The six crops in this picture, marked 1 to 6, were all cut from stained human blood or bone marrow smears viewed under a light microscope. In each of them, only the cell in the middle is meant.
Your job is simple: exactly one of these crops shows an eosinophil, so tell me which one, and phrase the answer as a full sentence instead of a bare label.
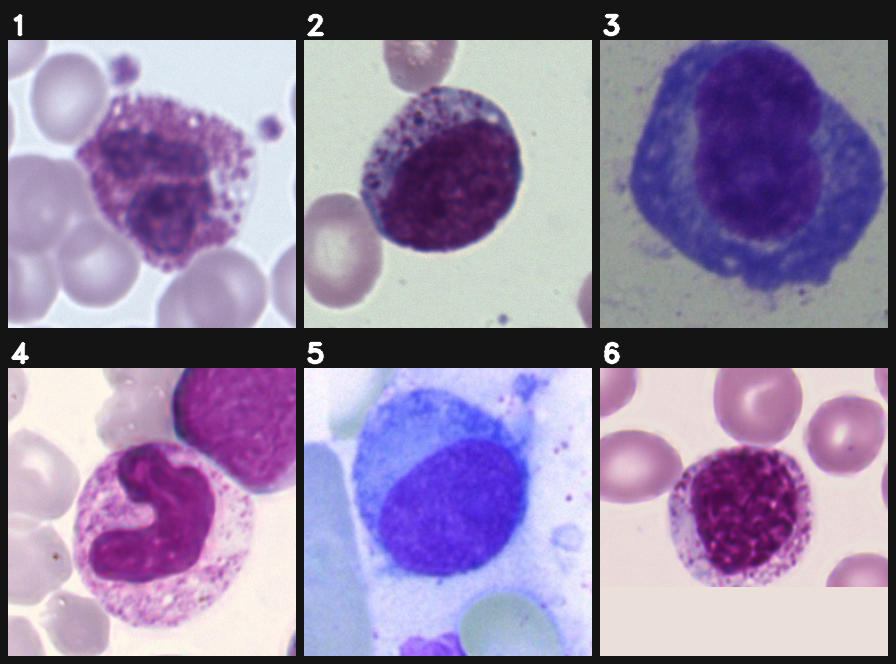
Of the labeled crops, the one with an eosinophil is crop 1.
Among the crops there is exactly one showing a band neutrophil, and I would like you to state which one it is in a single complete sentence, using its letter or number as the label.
Crop 4 shows a band neutrophil, and no other crop does.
